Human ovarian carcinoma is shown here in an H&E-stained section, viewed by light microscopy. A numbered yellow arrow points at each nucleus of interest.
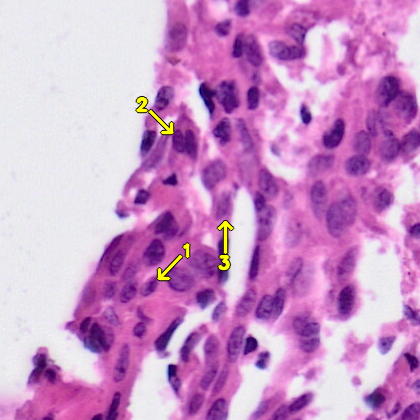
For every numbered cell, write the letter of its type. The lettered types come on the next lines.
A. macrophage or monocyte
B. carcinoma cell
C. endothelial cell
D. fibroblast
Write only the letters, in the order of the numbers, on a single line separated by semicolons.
A; B; B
